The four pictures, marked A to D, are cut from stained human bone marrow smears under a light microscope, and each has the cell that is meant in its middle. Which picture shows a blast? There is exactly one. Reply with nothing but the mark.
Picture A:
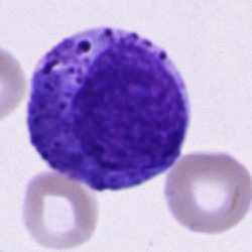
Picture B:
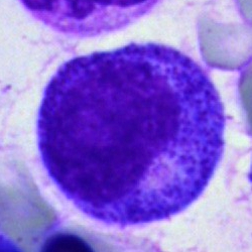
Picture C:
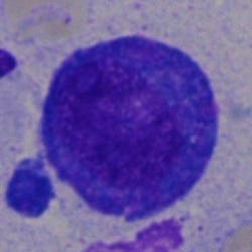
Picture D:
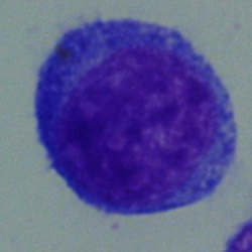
D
